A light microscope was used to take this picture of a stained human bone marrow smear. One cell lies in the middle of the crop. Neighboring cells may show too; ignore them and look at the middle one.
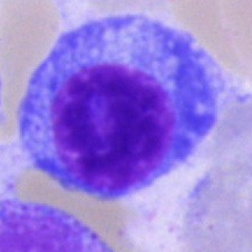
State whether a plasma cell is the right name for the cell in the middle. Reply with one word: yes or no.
yes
